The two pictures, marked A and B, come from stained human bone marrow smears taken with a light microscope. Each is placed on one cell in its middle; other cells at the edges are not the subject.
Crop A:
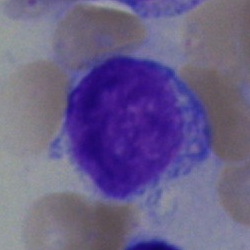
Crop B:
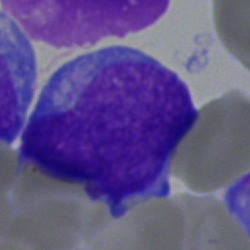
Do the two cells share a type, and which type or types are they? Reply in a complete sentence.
Yes, the two crops are alike in showing blasts.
